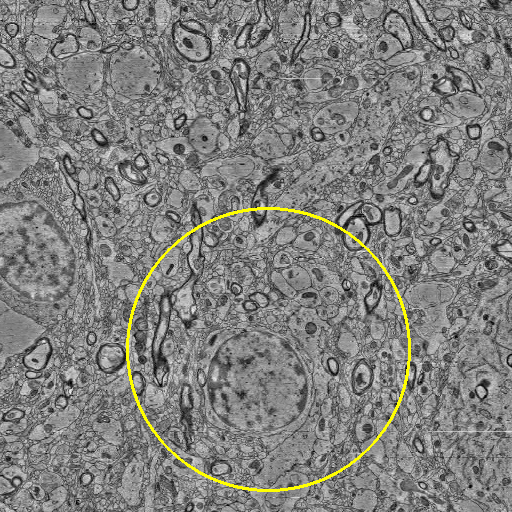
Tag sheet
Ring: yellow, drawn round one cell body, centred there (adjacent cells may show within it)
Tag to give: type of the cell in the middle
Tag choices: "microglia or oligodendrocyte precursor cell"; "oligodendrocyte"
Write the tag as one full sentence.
I tag the cell centred in the yellow ring as a microglial cell or oligodendrocyte precursor cell in this picture.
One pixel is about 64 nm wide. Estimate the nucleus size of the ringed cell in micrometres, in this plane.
Approximately 7 micrometres across, in this plane.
